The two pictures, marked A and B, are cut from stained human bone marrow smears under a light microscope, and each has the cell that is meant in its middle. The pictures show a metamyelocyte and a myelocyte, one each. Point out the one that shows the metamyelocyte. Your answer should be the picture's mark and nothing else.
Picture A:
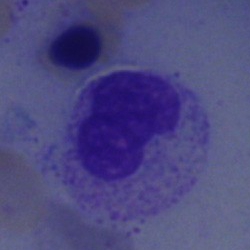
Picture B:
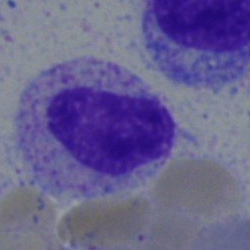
A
